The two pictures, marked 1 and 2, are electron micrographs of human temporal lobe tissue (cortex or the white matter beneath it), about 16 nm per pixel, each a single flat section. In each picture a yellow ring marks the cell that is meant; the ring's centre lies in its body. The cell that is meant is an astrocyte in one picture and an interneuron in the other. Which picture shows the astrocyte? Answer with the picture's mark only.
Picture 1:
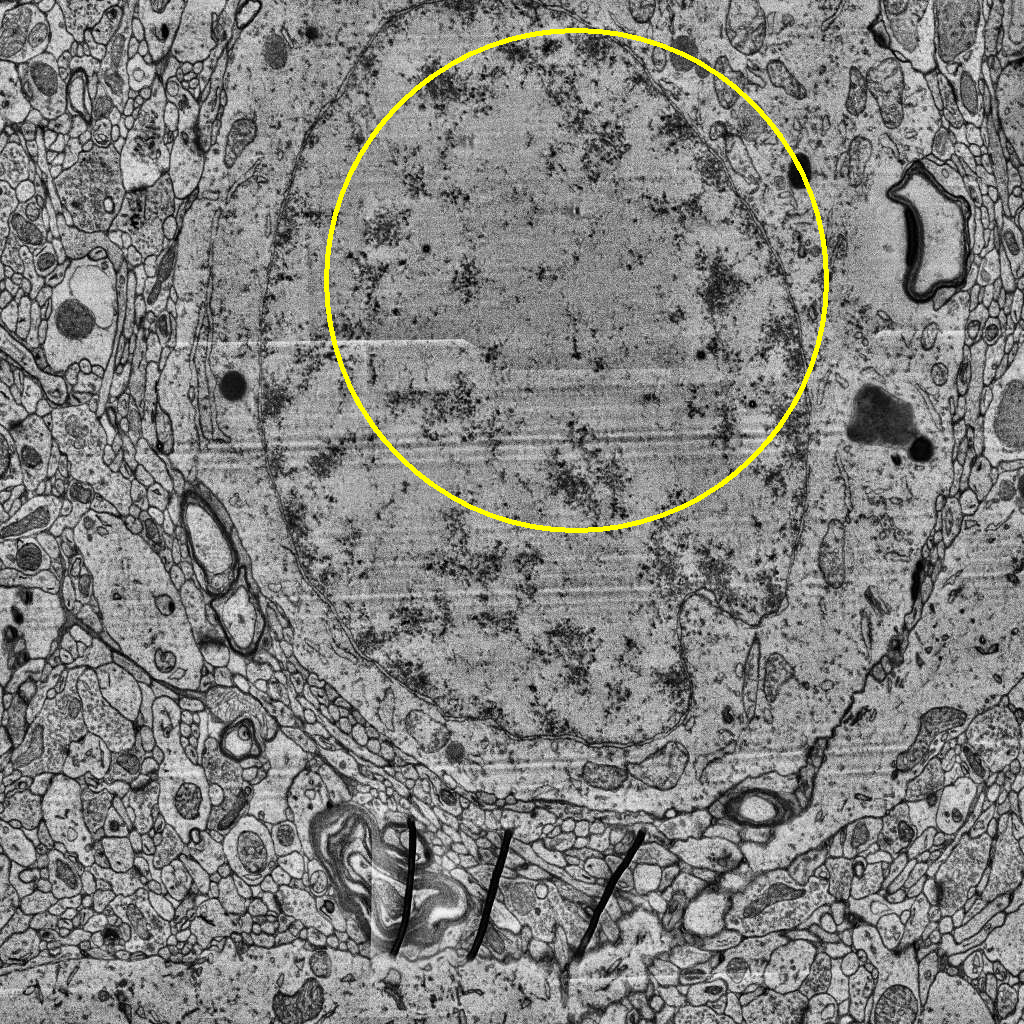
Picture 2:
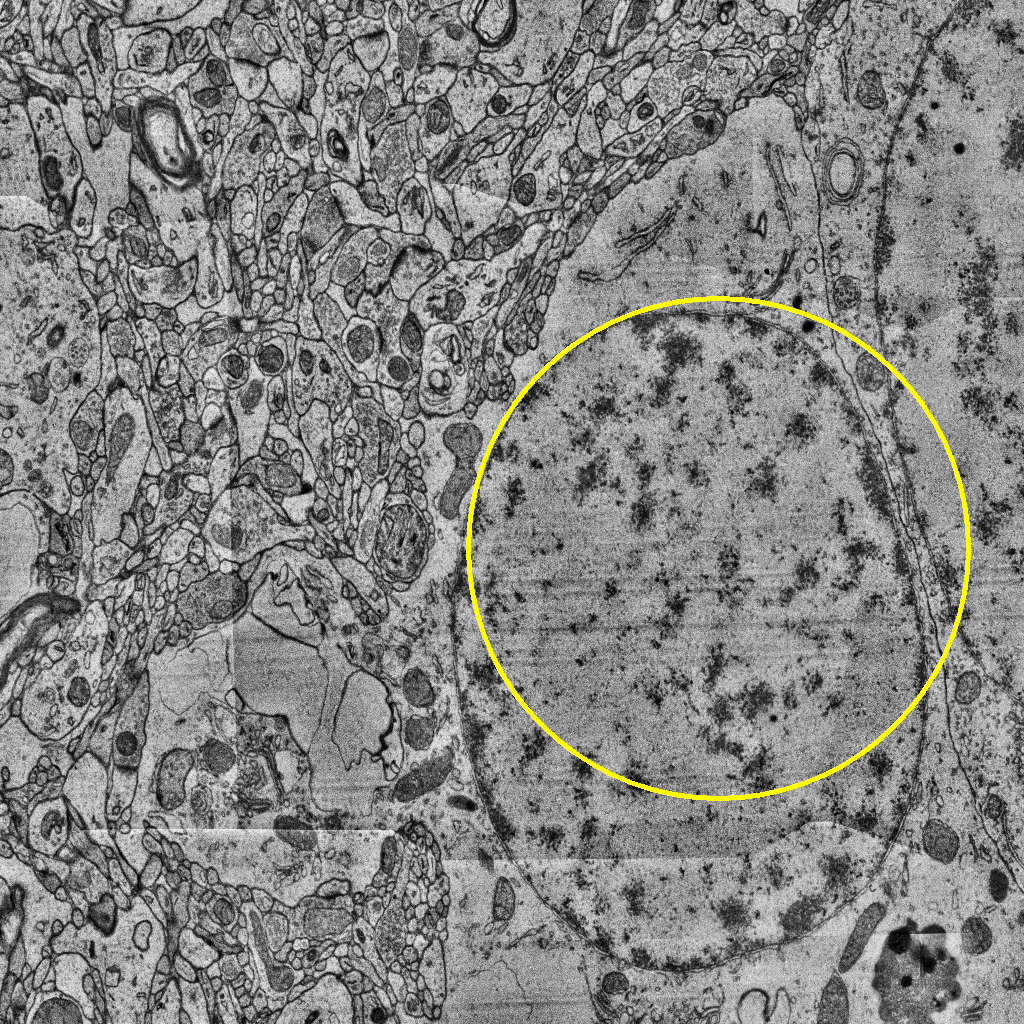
2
